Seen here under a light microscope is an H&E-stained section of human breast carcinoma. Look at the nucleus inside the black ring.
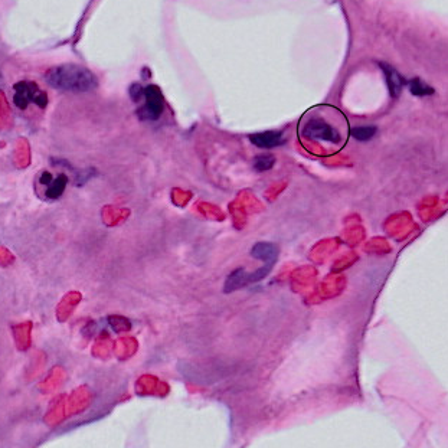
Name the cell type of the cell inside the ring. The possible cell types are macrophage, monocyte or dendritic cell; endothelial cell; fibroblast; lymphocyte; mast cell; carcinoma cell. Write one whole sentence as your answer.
As a matter of cell type, the cell inside the ring is an endothelial cell.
